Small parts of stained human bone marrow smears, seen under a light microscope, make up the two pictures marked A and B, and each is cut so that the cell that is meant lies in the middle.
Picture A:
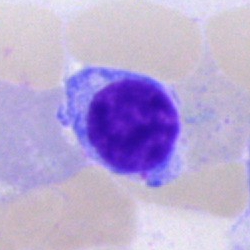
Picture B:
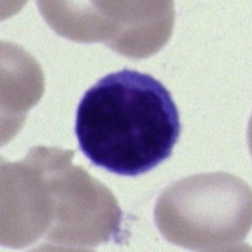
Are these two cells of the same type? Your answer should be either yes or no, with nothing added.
yes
